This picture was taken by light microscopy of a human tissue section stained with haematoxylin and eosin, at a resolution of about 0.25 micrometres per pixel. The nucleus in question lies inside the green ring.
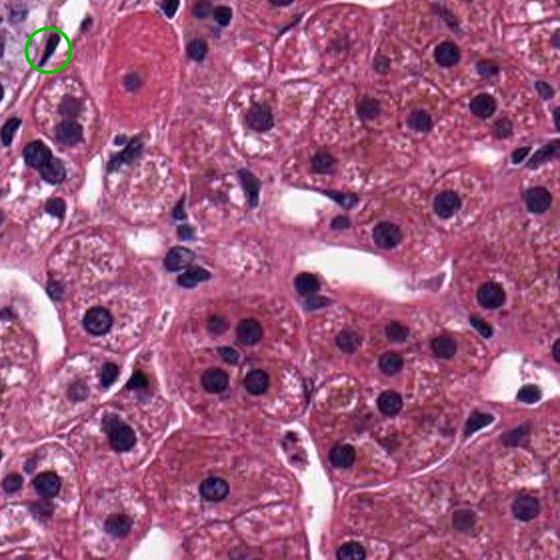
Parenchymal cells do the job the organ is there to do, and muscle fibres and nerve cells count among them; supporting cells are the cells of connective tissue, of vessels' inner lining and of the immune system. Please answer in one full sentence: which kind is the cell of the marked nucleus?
Within this section, the marked nucleus belongs to a supporting cell.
